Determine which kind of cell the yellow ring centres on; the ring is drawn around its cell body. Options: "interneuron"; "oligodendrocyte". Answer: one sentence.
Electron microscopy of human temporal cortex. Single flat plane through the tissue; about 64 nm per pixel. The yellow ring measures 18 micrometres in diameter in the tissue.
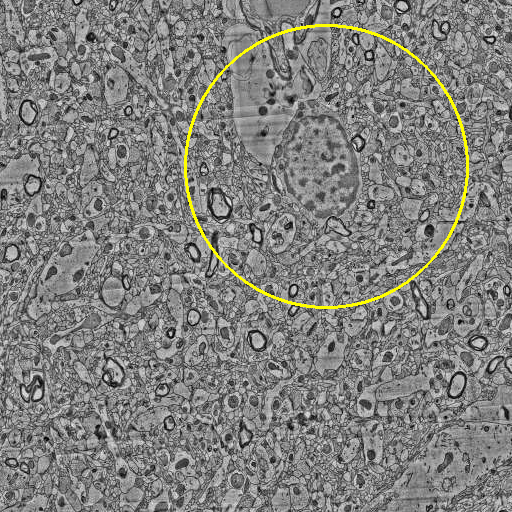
The ring centres on an oligodendrocyte.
